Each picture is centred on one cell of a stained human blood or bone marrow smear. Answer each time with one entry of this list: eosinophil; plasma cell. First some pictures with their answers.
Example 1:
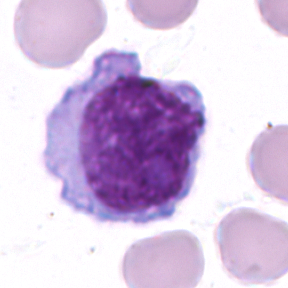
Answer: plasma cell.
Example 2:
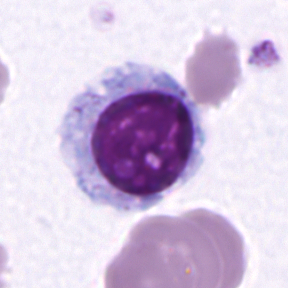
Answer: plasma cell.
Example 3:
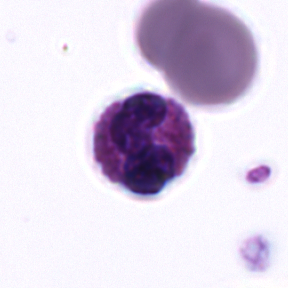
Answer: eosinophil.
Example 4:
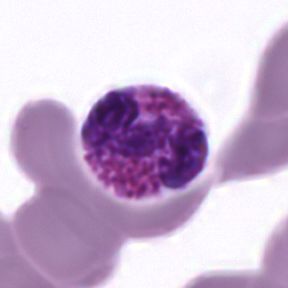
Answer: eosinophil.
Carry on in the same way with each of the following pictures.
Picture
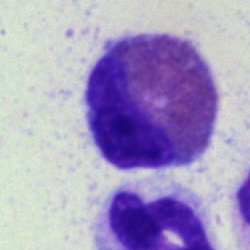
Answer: eosinophil.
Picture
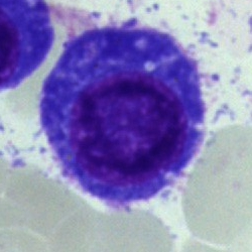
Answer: plasma cell.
